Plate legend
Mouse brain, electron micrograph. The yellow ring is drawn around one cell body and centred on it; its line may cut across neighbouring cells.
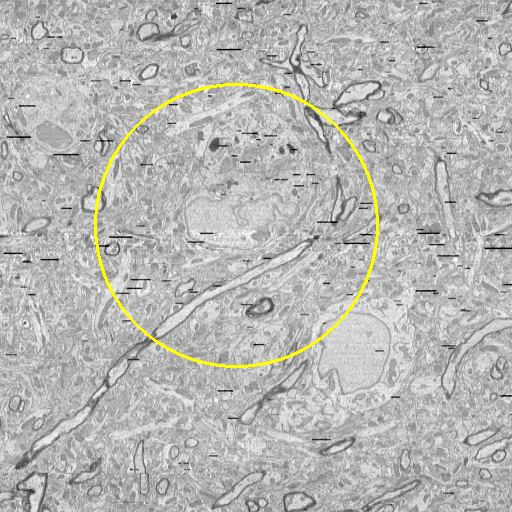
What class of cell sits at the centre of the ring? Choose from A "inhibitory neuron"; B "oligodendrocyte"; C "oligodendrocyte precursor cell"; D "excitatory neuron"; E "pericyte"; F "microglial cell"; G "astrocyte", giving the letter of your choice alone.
C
